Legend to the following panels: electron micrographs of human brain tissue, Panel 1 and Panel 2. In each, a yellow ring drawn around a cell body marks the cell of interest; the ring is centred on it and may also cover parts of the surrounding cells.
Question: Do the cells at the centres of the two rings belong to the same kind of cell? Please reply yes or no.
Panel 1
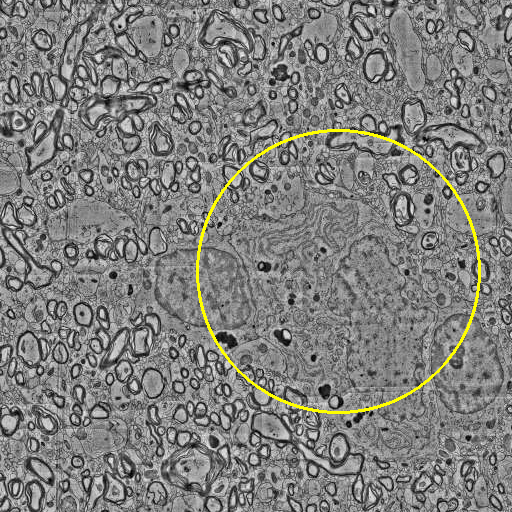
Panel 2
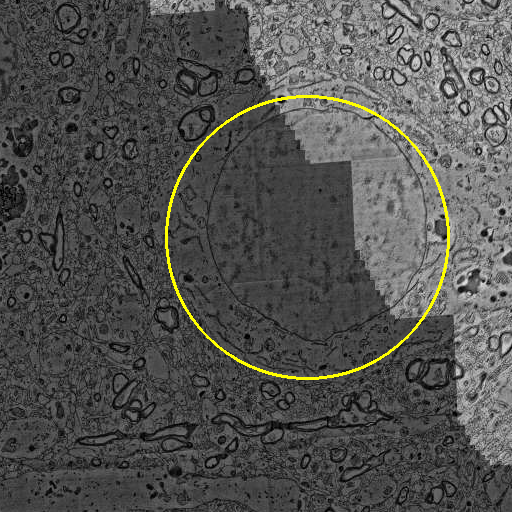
no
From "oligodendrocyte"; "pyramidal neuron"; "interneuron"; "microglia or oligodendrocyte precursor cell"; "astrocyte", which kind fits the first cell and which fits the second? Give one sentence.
The cell marked in the first picture is an interneuron, and the one marked in the second is a pyramidal neuron.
